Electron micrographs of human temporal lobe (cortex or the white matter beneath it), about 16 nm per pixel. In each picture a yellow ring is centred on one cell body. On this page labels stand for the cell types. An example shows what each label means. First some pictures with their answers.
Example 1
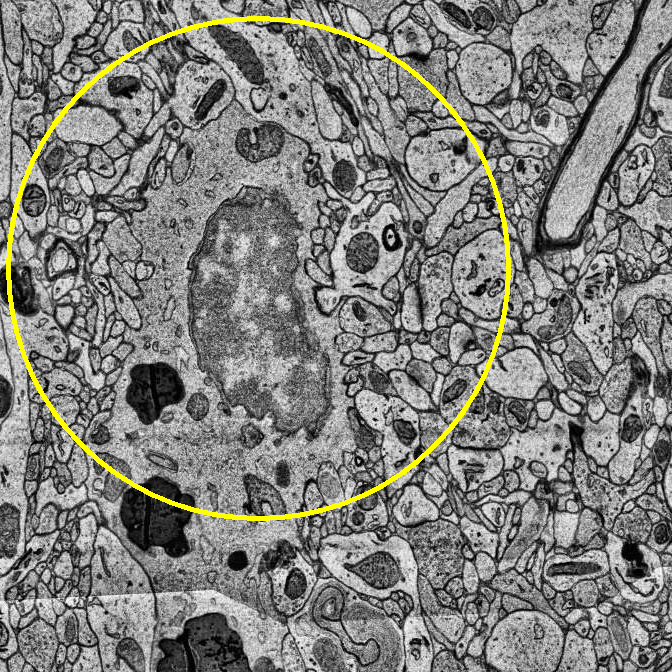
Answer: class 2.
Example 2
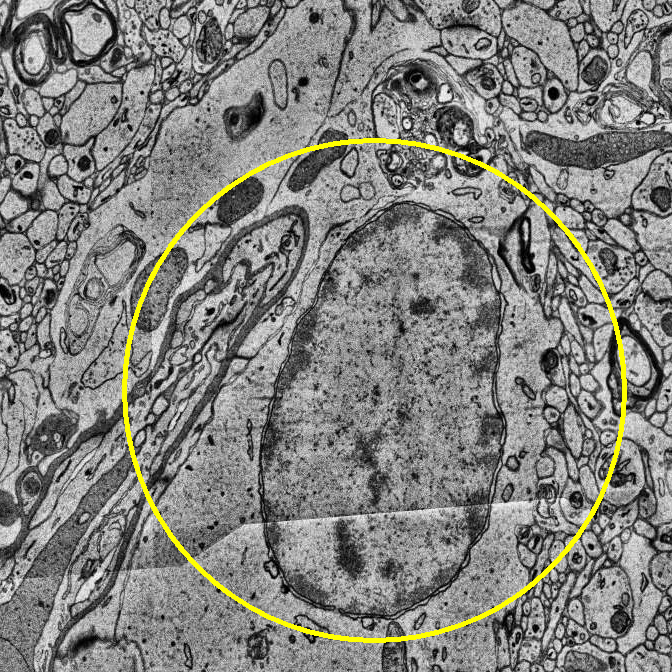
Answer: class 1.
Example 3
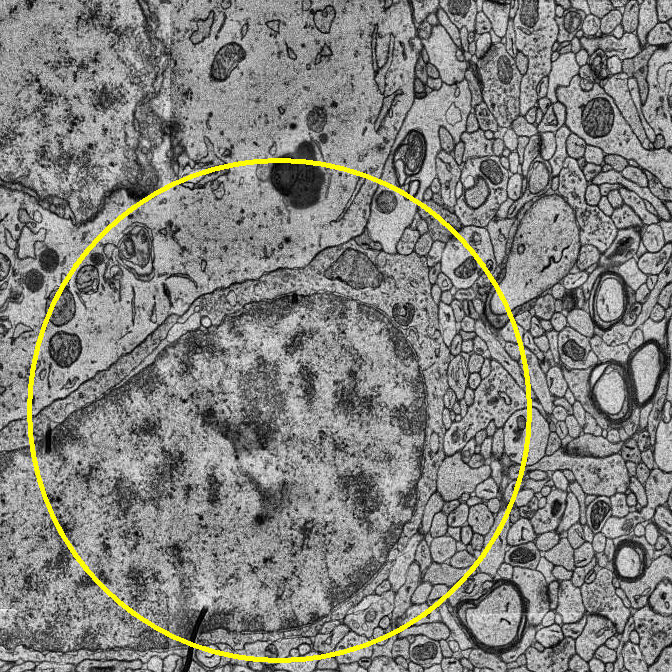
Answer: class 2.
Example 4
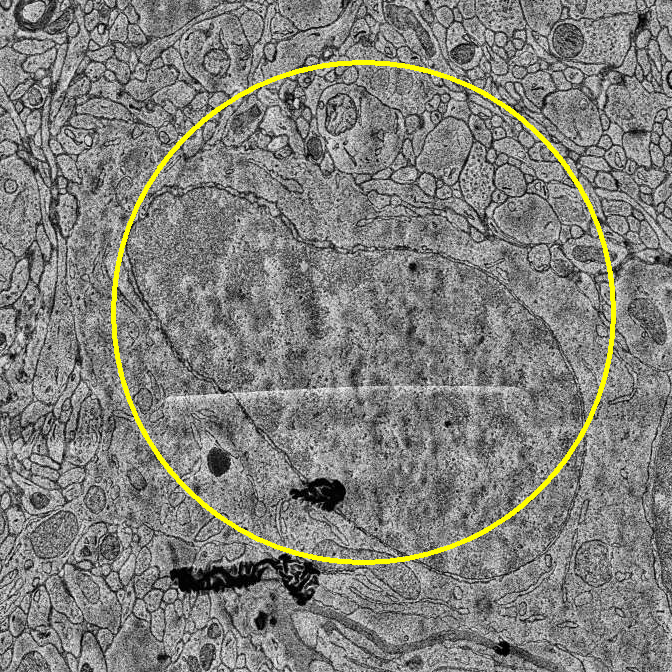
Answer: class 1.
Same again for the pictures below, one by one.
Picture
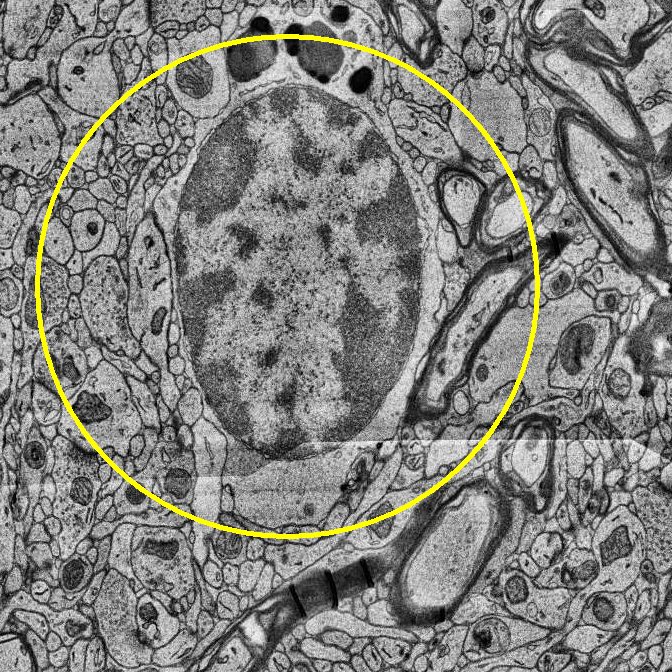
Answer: class 1.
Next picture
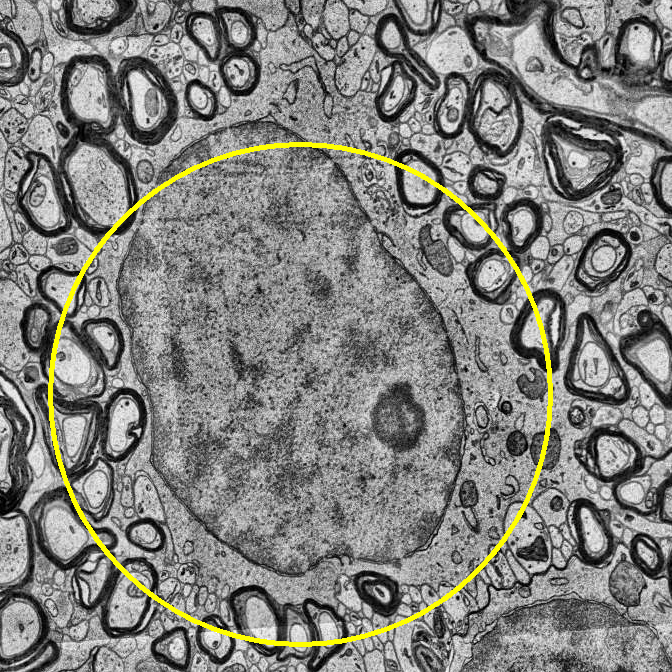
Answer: class 2.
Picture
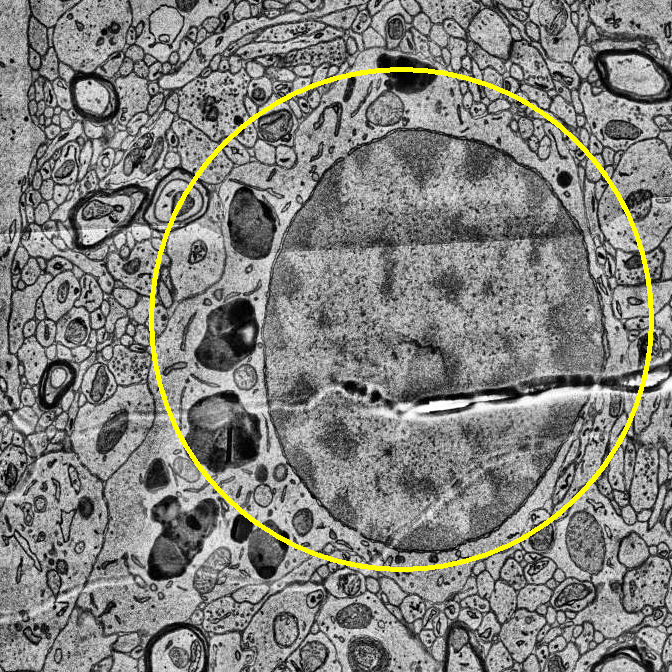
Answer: class 1.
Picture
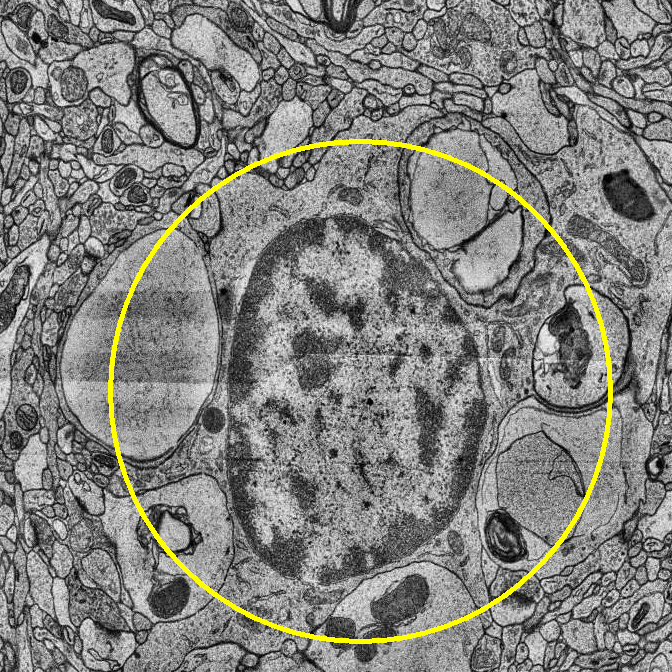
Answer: class 1.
